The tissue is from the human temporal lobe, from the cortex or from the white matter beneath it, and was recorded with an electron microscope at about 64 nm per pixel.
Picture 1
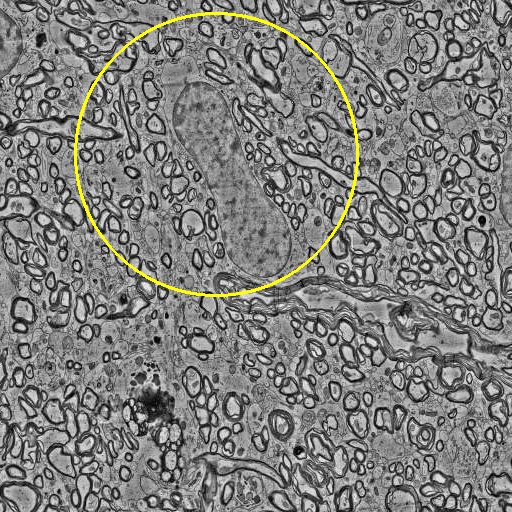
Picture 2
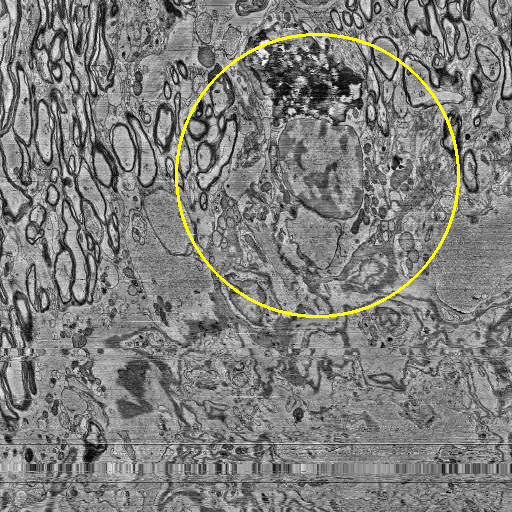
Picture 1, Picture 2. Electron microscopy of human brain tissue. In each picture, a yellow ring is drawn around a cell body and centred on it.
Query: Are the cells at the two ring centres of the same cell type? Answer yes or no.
yes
